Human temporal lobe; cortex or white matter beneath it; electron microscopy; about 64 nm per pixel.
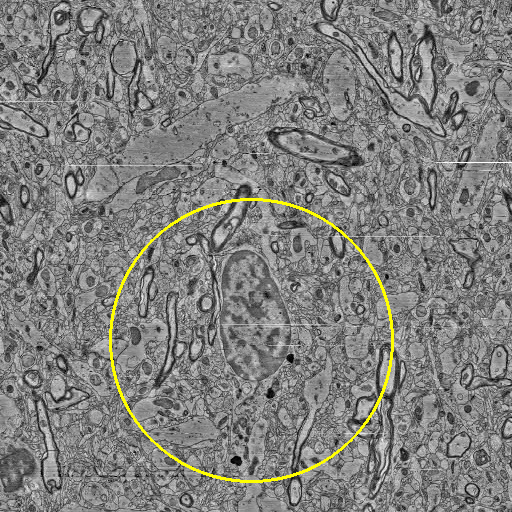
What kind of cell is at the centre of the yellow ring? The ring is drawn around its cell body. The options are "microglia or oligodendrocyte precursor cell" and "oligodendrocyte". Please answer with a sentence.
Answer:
The yellow ring marks the cell body of a microglial cell or oligodendrocyte precursor cell.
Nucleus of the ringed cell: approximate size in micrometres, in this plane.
At approximately 9 by 4 micrometres, the nucleus is clearly longer than it is wide in this plane.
